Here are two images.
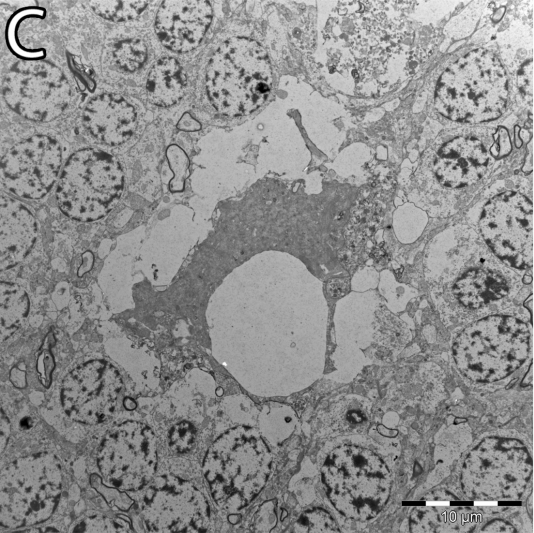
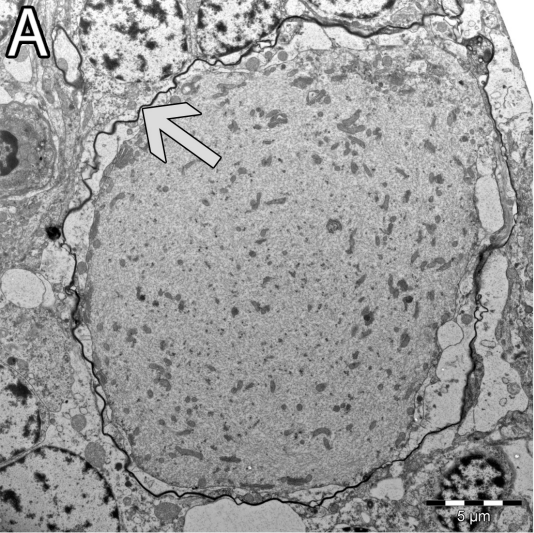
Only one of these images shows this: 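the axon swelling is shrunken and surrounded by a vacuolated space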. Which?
The first image.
